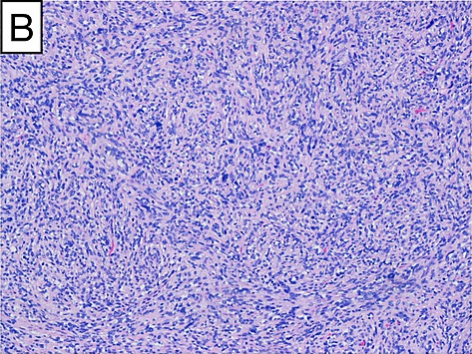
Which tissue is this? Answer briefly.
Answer: Cellular spindle cell tumor.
